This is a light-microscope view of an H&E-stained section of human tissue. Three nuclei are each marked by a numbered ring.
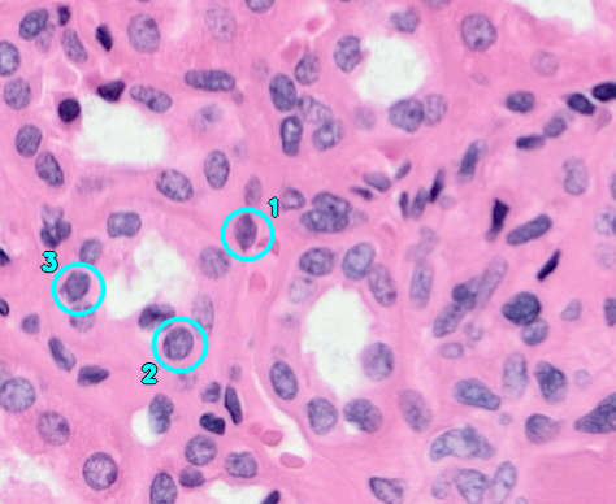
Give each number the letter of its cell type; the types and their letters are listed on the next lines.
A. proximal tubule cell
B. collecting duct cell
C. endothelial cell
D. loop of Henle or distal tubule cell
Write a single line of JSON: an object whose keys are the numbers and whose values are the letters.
{"1": "C", "2": "B", "3": "B"}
